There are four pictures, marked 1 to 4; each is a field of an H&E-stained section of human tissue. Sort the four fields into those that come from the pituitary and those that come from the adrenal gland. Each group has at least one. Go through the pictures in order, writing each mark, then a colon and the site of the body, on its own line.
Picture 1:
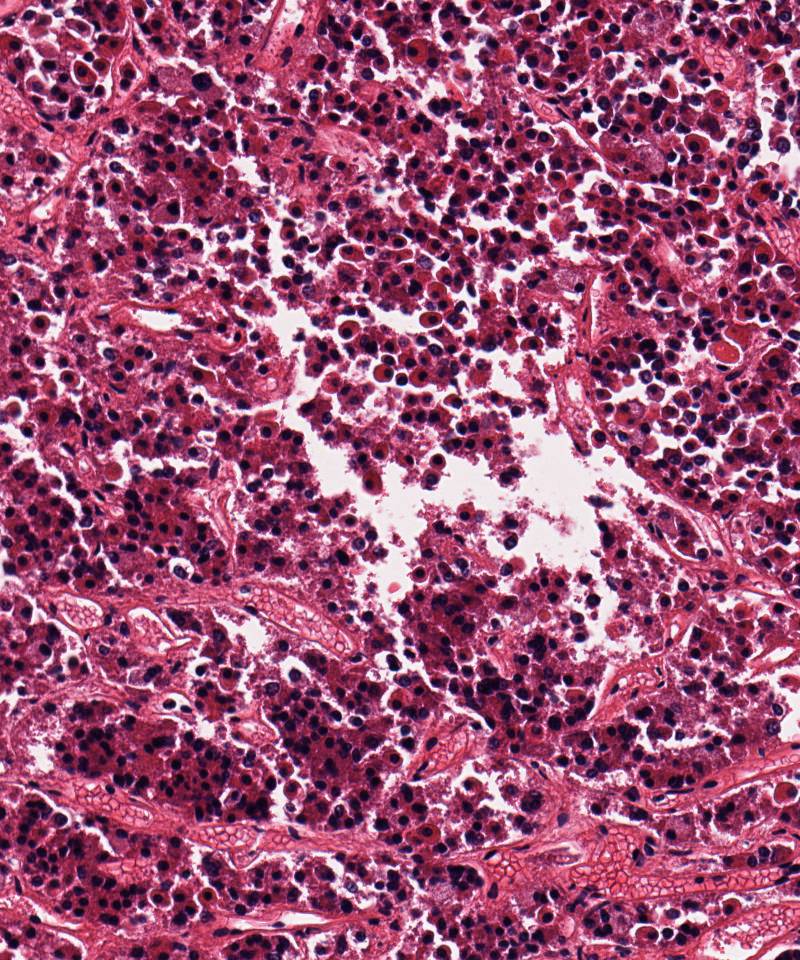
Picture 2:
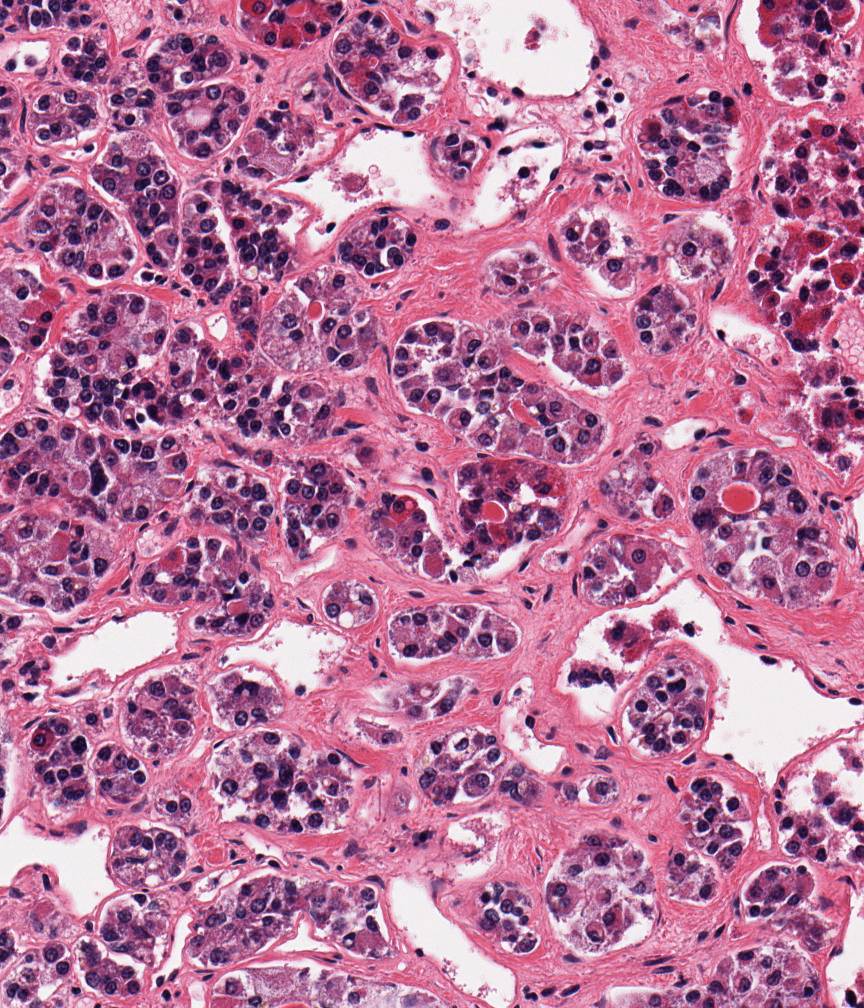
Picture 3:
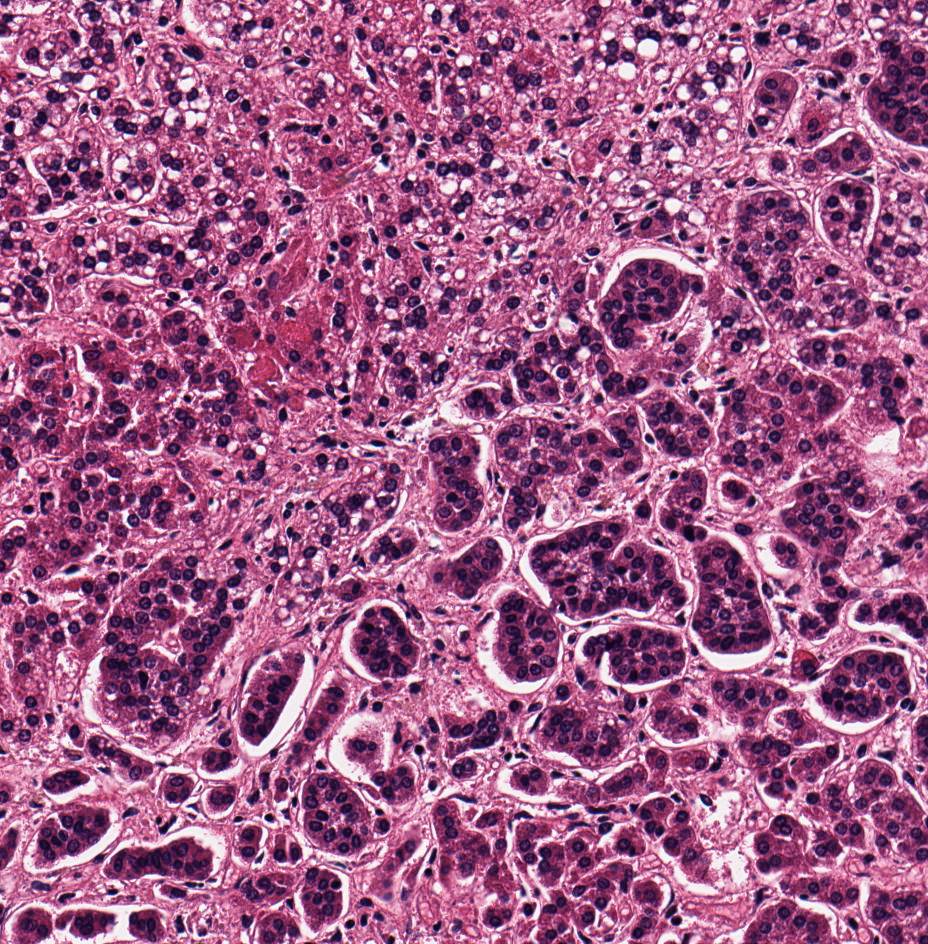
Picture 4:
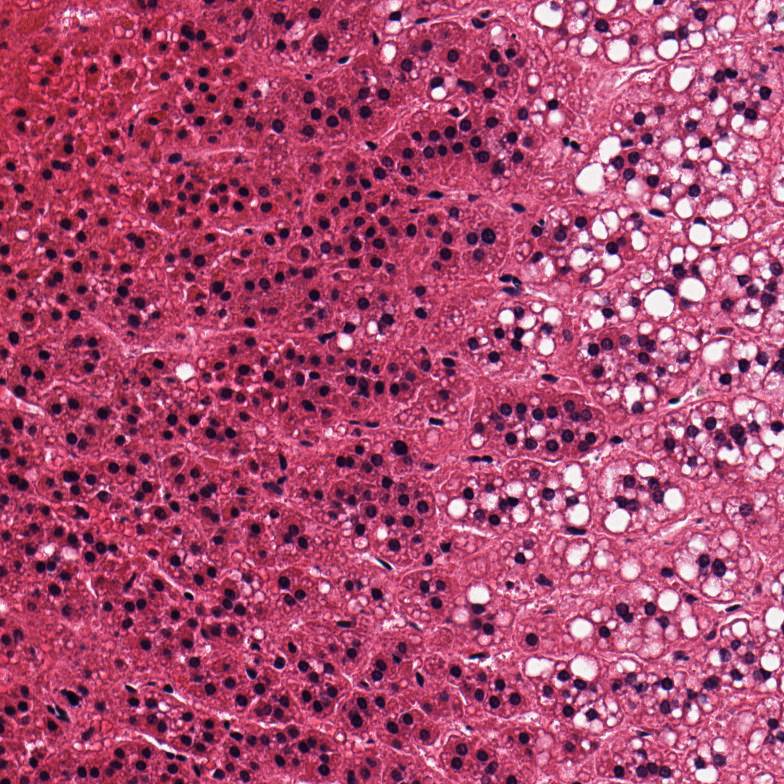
1: pituitary
2: pituitary
3: adrenal gland
4: adrenal gland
